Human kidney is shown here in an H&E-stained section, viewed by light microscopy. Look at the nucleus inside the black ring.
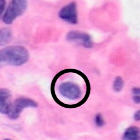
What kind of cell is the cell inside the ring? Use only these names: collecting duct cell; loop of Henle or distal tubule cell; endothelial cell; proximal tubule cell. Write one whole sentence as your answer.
Considered by cell type, the cell inside the ring is an endothelial cell.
